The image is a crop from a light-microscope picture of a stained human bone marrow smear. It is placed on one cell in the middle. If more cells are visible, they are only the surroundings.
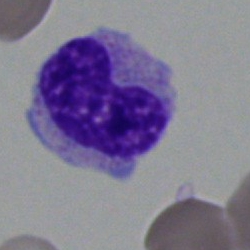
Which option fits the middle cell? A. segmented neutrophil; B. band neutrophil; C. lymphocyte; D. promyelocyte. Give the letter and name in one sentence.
Option B is correct, naming the cell in the middle as a band neutrophil.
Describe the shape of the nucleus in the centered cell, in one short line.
What stands out is a nucleus forming one compact round, oval or kidney-shaped mass.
